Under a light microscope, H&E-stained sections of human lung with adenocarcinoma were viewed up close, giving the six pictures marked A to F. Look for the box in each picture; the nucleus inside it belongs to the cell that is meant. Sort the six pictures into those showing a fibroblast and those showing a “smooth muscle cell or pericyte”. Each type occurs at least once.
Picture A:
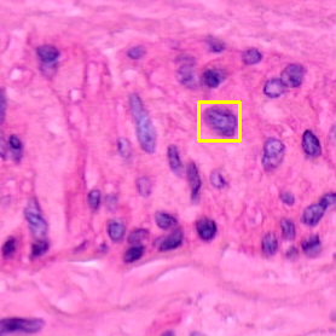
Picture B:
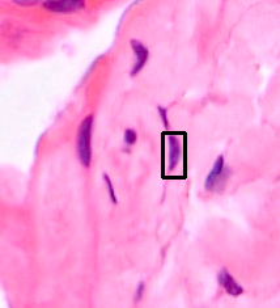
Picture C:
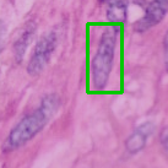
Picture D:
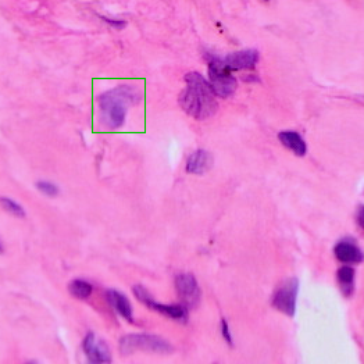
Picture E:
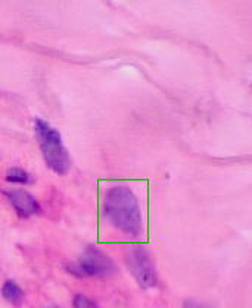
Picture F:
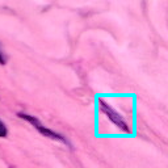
A: smooth muscle cell or pericyte
B: fibroblast
C: smooth muscle cell or pericyte
D: fibroblast
E: fibroblast
F: fibroblast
